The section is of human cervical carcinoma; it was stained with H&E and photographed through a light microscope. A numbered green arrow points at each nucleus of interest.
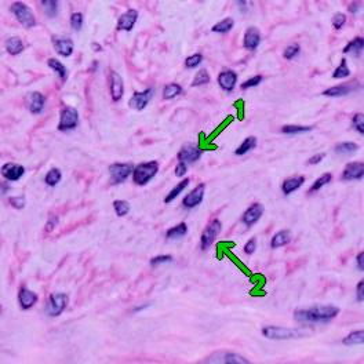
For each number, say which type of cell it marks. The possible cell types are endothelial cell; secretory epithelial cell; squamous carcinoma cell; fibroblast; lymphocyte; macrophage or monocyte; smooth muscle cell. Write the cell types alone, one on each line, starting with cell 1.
fibroblast
smooth muscle cell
